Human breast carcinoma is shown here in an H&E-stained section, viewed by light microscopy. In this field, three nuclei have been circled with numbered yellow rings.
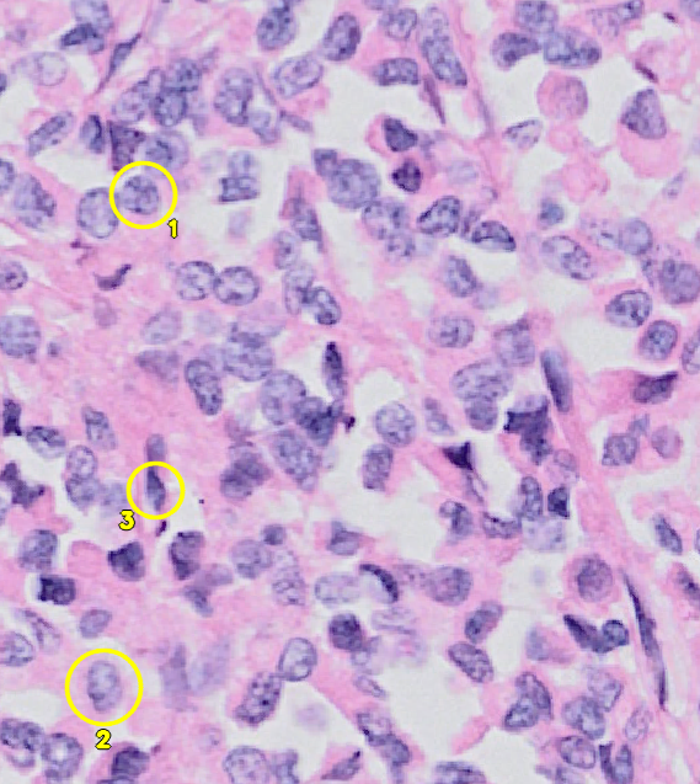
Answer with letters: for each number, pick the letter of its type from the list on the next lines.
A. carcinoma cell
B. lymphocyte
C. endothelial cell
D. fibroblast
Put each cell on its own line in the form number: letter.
1: A
2: A
3: C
